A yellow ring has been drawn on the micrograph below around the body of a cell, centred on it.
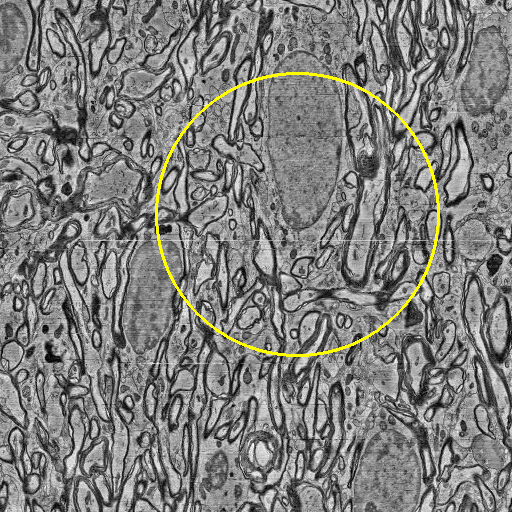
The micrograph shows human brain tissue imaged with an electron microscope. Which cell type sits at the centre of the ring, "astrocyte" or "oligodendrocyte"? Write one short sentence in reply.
The cell sitting at the centre of the ring is an astrocyte.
